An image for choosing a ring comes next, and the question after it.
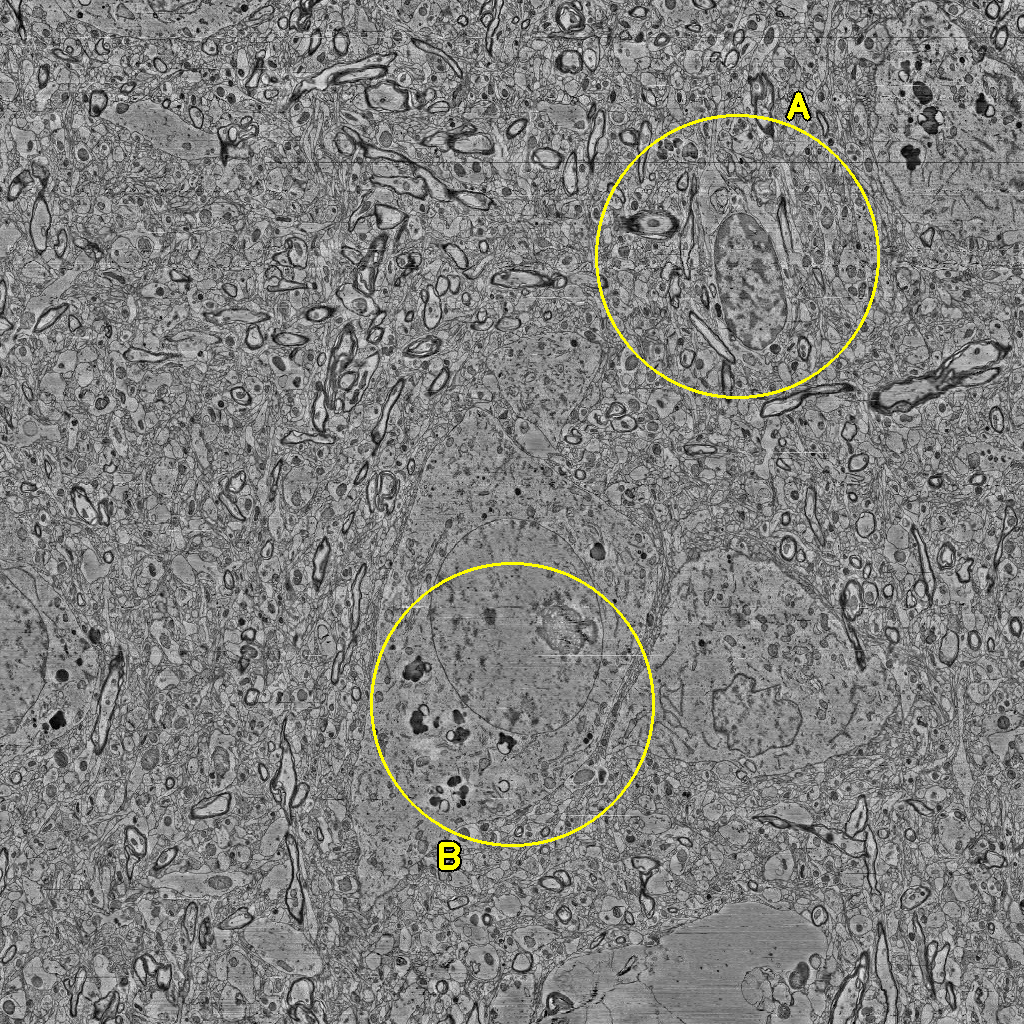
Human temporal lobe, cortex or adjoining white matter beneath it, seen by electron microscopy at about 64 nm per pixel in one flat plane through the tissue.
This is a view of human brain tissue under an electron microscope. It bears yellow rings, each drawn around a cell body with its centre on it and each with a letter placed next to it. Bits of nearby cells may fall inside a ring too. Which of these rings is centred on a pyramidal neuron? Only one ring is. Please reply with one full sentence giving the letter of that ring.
Of all the lettered rings, B is the one centred on a cell of that kind.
